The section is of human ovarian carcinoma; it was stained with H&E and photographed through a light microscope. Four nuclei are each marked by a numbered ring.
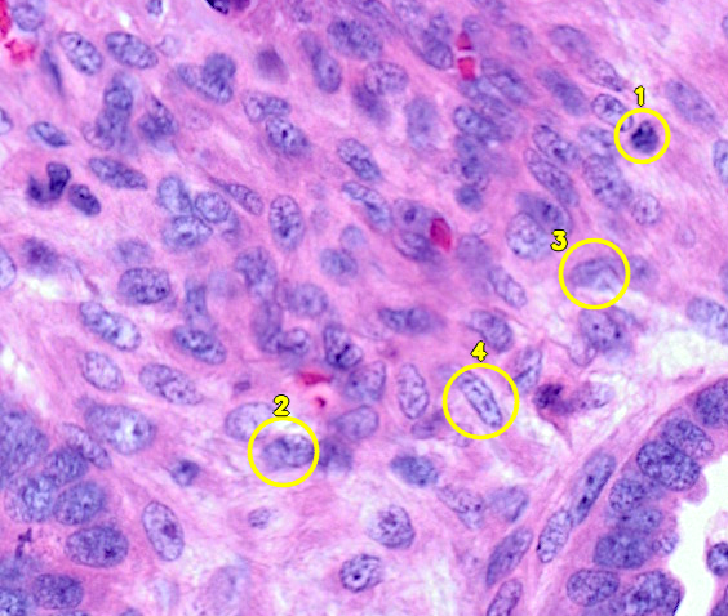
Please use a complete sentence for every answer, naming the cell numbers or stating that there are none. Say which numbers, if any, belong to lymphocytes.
The one cell that is a lymphocyte is cell 1, and no other.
